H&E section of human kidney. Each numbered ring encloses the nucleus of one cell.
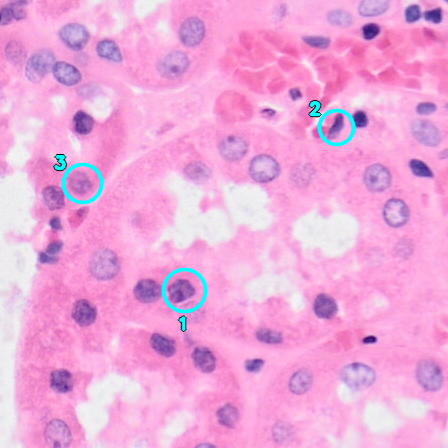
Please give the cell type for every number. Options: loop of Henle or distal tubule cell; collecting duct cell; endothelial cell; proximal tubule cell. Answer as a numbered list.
1. proximal tubule cell
2. endothelial cell
3. proximal tubule cell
